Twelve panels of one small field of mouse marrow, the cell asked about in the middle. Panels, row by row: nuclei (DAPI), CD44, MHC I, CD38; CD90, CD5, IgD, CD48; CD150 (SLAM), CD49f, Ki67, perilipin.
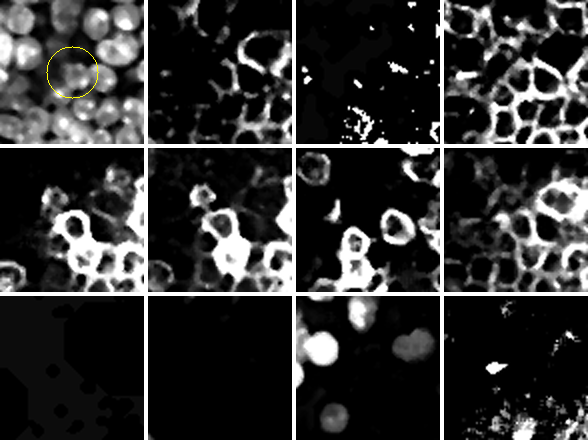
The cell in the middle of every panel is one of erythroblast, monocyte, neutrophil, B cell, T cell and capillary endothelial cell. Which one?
T cell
